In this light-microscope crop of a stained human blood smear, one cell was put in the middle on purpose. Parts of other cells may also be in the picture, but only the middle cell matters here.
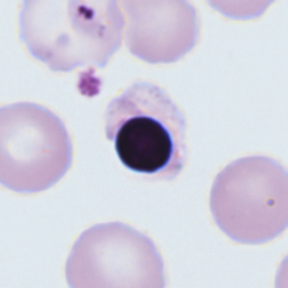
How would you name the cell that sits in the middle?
normoblast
